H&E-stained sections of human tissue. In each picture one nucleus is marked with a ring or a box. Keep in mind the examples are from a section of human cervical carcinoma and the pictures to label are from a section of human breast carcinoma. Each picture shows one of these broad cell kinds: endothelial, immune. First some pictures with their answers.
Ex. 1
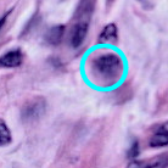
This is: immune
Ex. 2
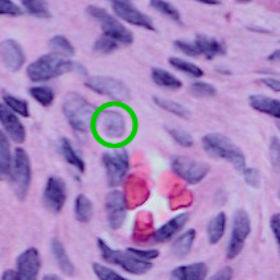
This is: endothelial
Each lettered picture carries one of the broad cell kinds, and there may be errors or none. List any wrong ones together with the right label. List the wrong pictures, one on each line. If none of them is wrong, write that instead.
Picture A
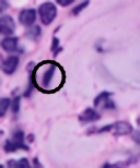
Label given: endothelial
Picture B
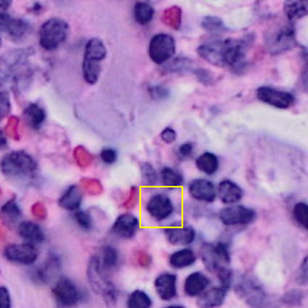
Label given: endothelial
A is labelled endothelial; correct label: immune
B is labelled endothelial; correct label: immune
